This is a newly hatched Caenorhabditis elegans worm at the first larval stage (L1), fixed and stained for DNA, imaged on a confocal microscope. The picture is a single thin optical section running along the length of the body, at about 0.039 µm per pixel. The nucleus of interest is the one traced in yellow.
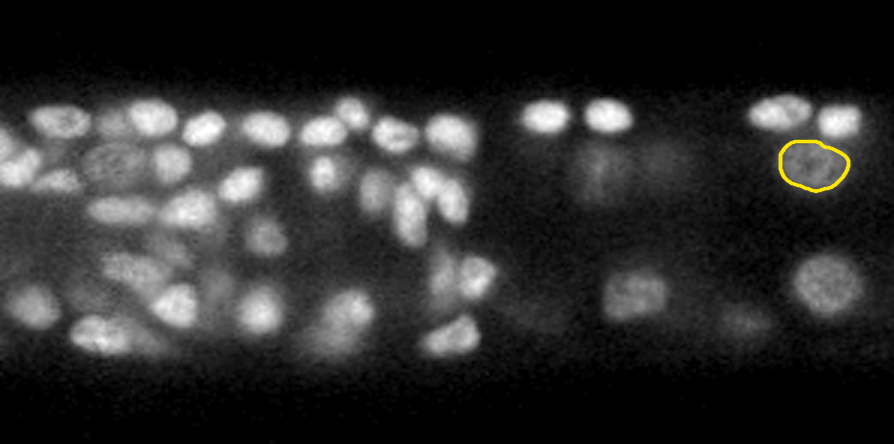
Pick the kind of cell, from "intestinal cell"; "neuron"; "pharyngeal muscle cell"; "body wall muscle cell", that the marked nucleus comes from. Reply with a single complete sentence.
What is marked is the nucleus of an intestinal cell.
